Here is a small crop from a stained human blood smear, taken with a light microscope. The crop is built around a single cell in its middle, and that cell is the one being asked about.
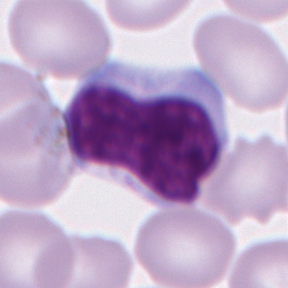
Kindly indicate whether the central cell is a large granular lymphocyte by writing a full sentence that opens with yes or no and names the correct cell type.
No, it isn't a large granular lymphocyte; what sits in the middle is a typical lymphocyte.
